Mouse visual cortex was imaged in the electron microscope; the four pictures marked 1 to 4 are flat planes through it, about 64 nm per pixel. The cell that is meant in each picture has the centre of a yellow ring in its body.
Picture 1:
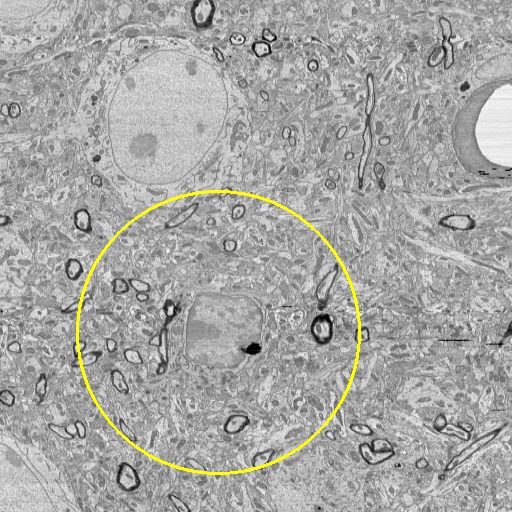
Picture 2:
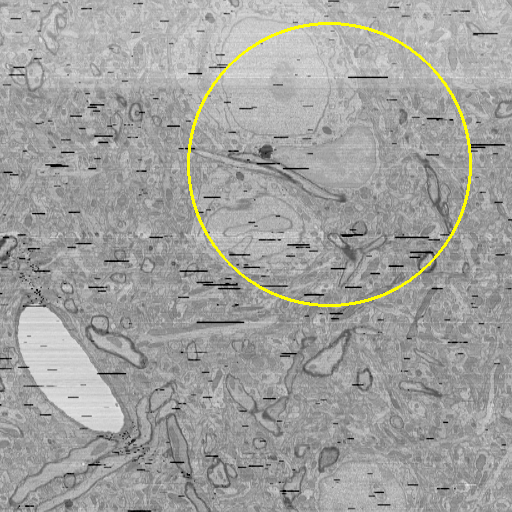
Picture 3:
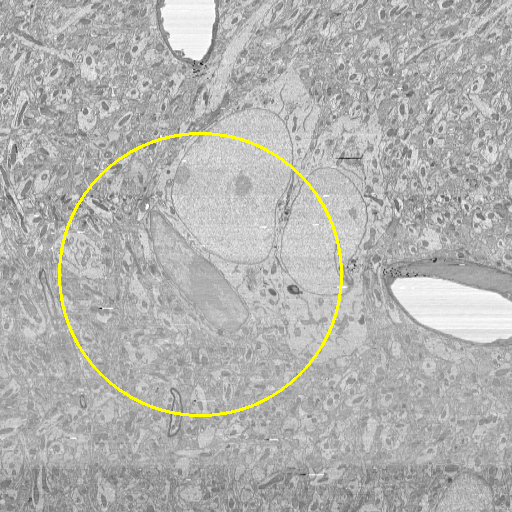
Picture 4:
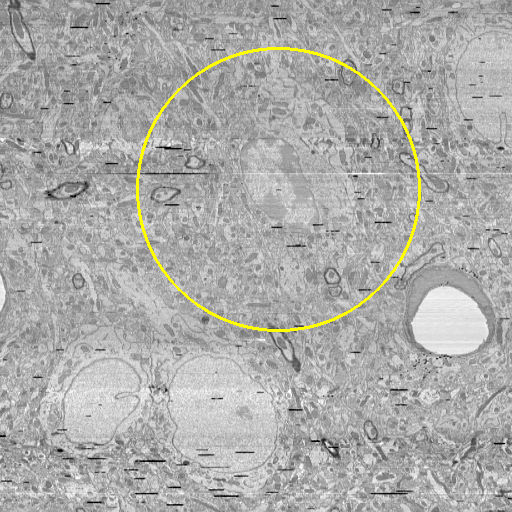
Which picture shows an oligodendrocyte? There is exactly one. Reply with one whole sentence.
The cell in picture 4 is the oligodendrocyte.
